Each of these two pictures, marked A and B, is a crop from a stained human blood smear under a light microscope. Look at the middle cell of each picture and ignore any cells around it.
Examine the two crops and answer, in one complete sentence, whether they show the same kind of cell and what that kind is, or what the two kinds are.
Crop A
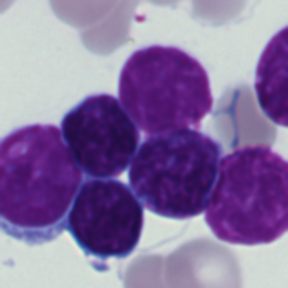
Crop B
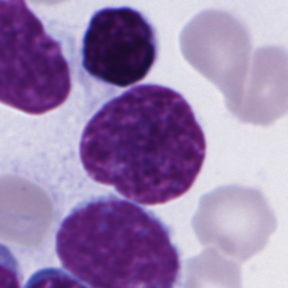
Yes, the cells in both crops are myeloblasts.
